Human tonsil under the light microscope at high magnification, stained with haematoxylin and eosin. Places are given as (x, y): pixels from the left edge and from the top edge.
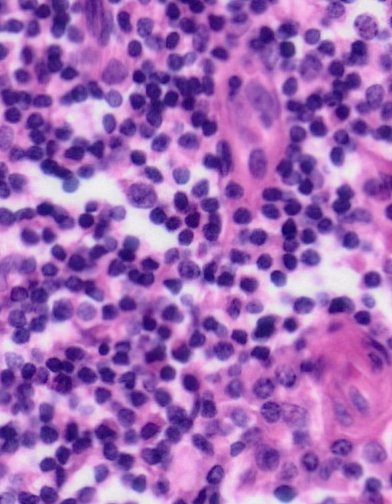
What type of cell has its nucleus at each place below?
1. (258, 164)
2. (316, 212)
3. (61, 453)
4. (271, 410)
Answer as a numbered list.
1. endothelial cell
2. small lymphocyte
3. small lymphocyte
4. plasma cell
